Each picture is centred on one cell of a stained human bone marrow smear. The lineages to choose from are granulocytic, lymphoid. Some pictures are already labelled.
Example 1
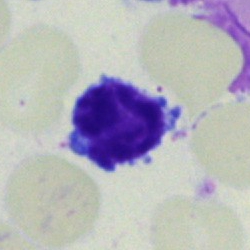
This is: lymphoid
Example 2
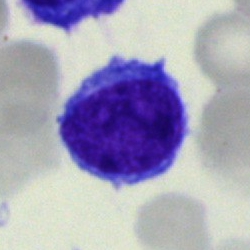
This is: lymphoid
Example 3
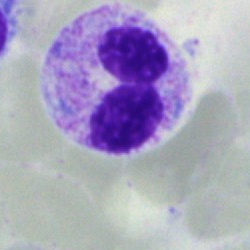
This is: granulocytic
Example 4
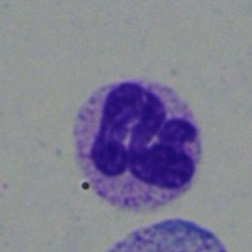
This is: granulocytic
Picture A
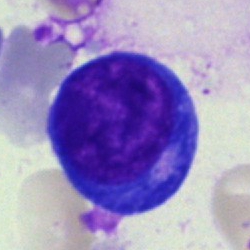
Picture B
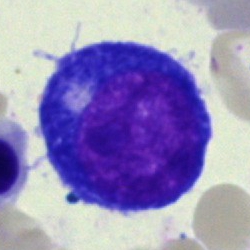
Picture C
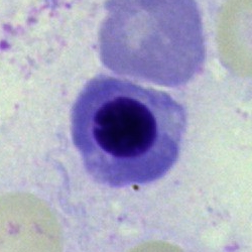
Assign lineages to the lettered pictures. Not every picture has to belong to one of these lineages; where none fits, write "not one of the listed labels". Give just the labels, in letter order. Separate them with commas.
not one of the listed labels, not one of the listed labels, not one of the listed labels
